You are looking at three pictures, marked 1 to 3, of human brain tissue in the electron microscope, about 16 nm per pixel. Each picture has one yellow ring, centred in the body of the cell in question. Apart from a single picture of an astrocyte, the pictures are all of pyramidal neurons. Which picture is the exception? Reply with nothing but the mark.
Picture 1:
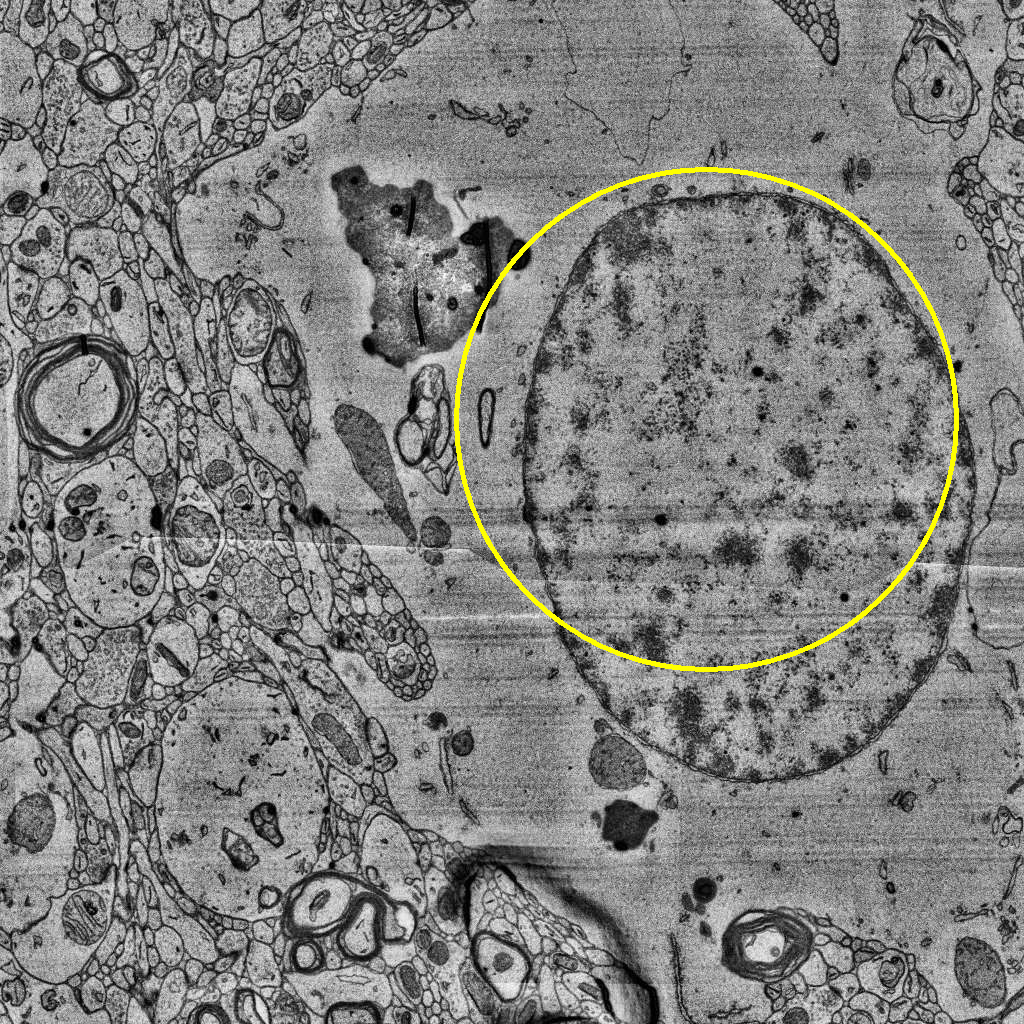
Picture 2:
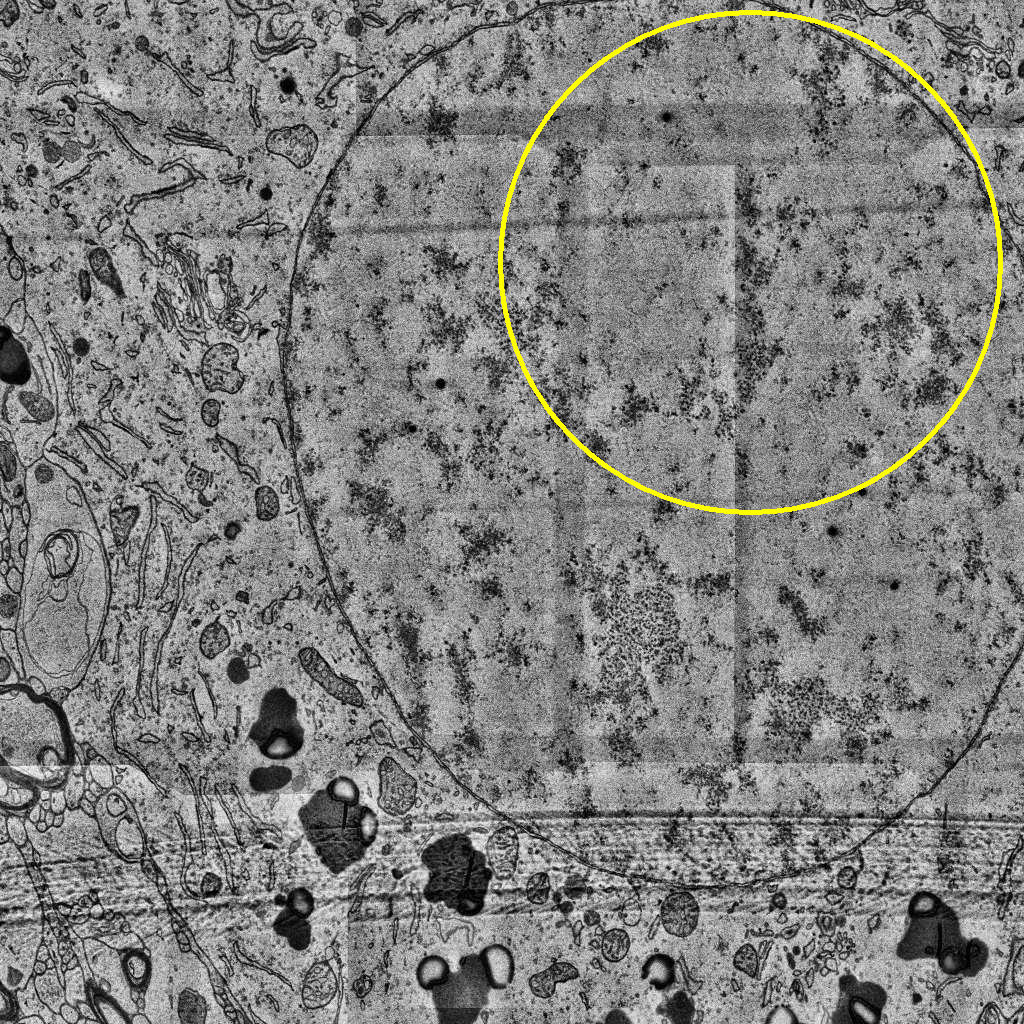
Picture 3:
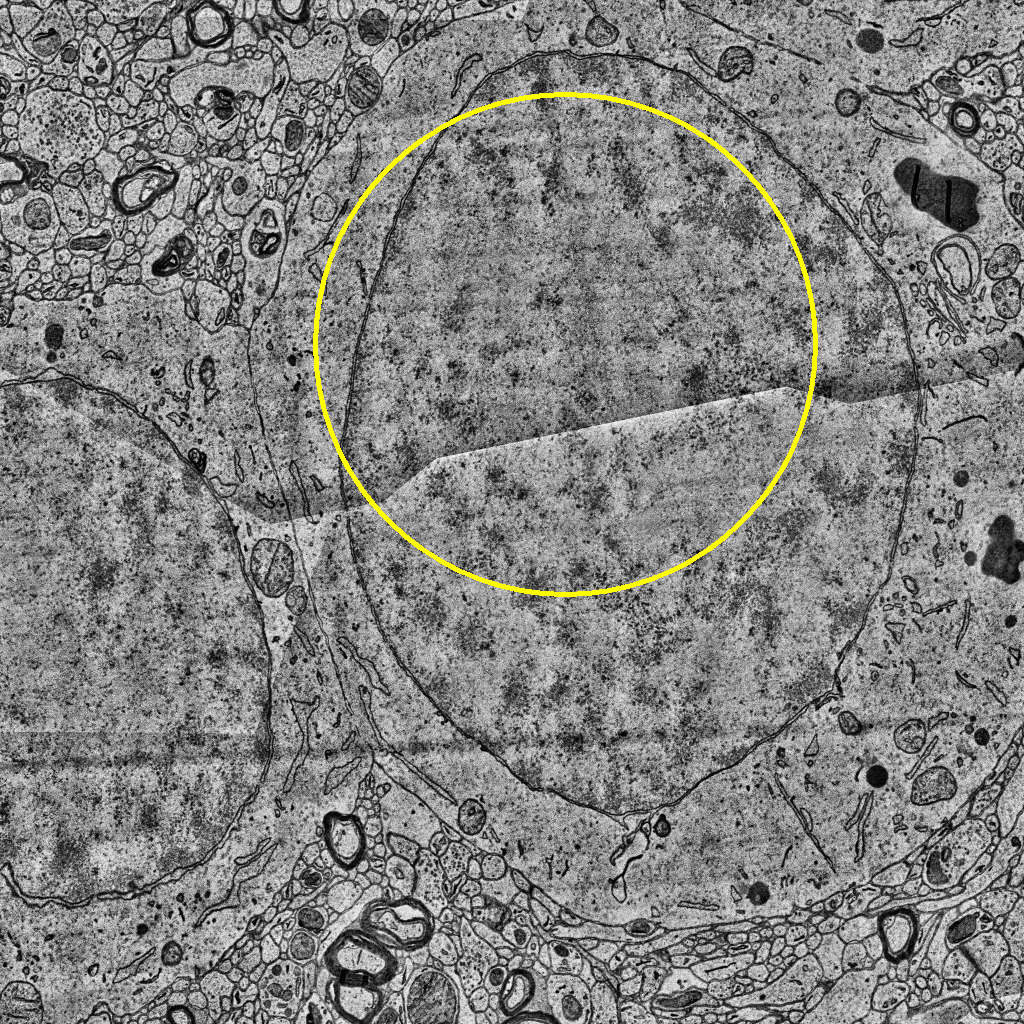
1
